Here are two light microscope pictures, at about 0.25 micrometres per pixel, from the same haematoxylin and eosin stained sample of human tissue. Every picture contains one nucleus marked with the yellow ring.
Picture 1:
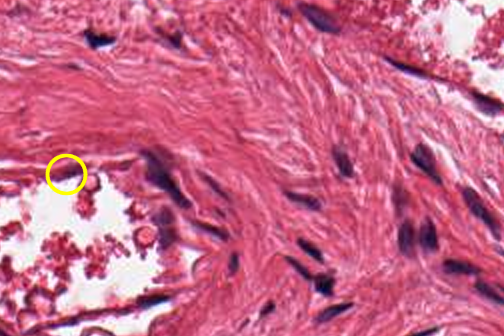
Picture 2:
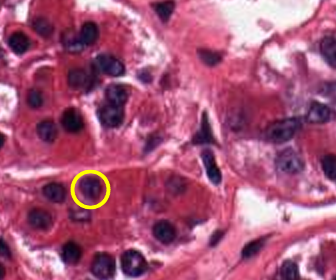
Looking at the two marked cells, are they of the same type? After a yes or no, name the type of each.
No, the first is an endothelial cell and the second an anterior pituitary cell.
